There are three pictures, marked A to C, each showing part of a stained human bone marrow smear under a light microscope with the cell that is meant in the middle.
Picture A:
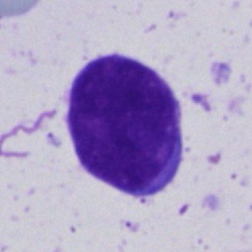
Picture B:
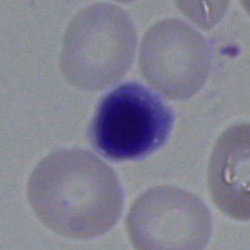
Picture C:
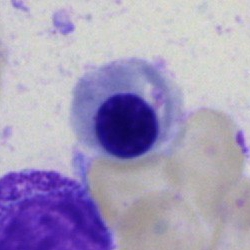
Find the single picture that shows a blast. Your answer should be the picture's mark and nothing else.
A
